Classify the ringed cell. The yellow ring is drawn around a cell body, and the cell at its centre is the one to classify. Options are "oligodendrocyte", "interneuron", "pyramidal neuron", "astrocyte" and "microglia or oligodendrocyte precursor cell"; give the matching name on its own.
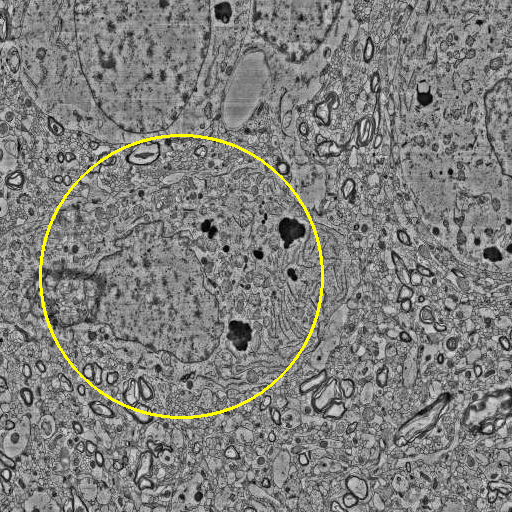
interneuron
